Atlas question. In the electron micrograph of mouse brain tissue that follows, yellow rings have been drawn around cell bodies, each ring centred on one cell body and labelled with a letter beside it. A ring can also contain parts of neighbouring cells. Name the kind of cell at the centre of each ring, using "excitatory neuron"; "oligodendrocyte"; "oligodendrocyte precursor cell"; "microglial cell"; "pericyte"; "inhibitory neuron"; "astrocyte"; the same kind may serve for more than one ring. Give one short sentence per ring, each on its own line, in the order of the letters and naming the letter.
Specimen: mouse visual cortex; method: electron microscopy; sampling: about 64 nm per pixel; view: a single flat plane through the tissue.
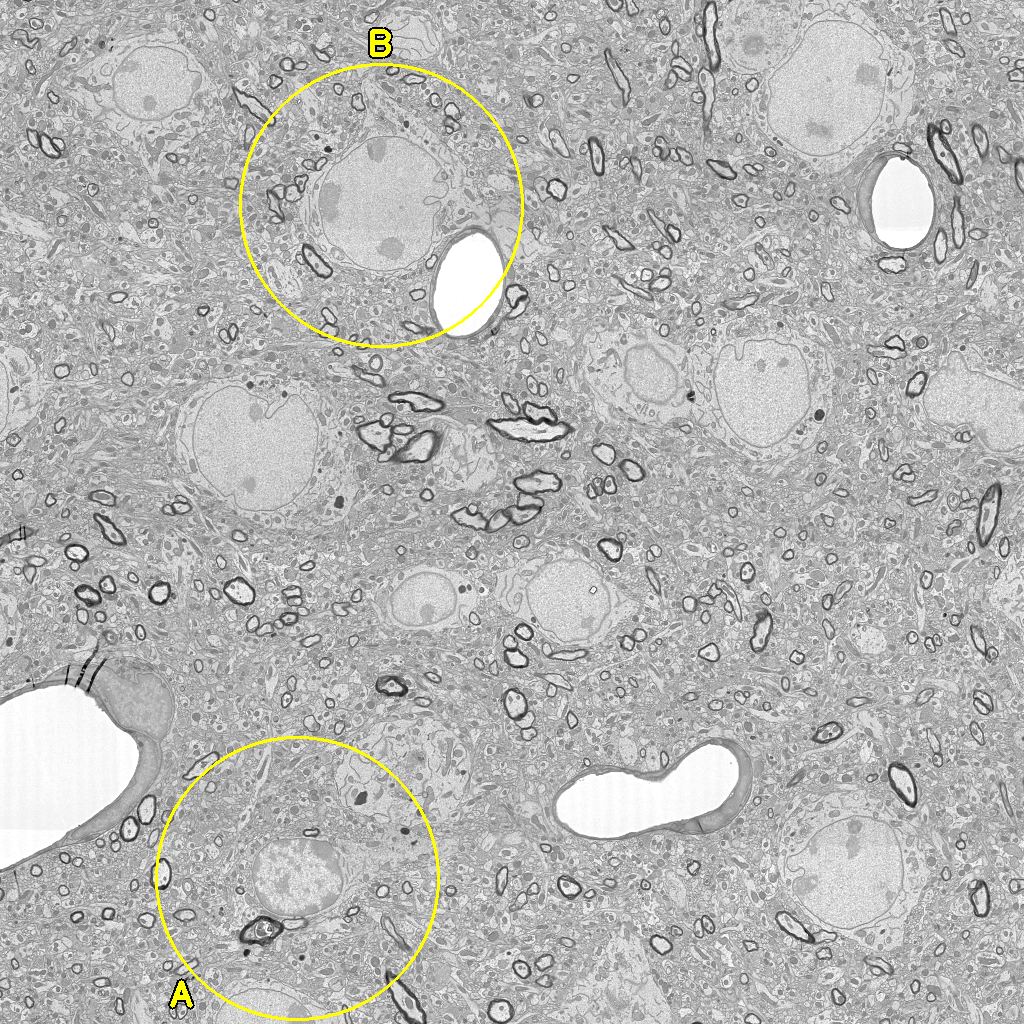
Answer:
For ring A, the cell at the centre is an oligodendrocyte.
For ring B, the cell at the centre is an excitatory neuron.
